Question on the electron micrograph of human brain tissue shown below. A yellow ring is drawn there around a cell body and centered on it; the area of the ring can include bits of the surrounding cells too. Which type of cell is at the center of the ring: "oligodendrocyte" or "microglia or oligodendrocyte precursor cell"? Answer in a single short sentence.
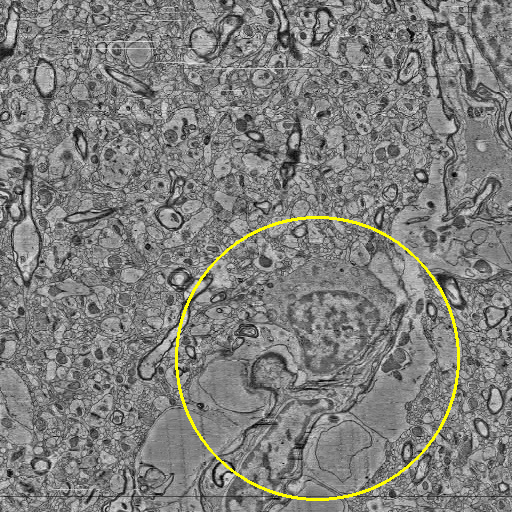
The ring is centered on an oligodendrocyte.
